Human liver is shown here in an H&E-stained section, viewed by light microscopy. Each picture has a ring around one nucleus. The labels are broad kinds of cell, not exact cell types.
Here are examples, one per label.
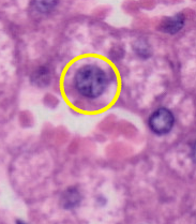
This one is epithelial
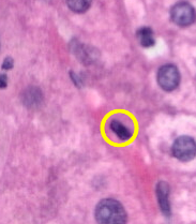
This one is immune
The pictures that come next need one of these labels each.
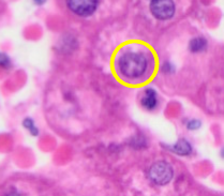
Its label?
epithelial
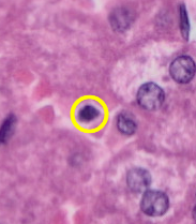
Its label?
immune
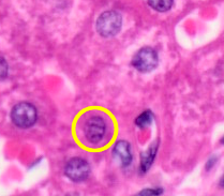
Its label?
epithelial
